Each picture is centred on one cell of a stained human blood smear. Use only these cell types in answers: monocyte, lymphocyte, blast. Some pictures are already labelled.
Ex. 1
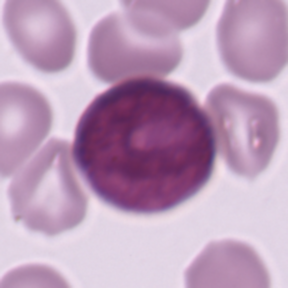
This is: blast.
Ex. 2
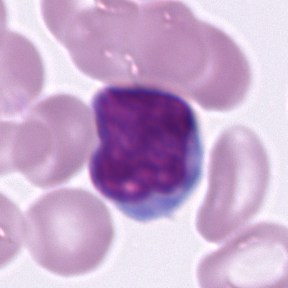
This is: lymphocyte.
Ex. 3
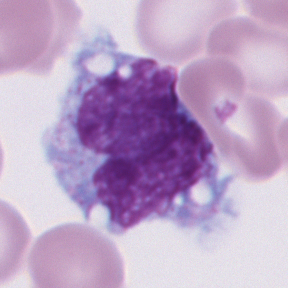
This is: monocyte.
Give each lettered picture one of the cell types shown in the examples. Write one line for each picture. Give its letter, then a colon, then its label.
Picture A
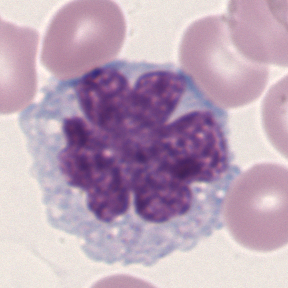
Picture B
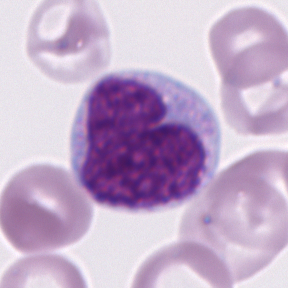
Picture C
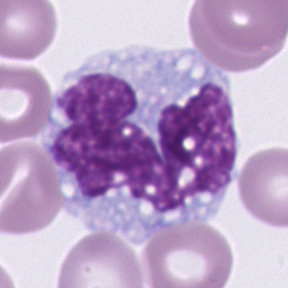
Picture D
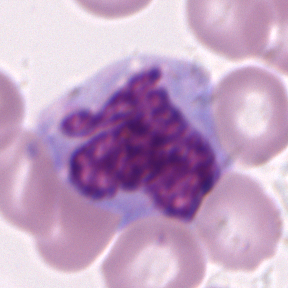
A: monocyte.
B: monocyte.
C: monocyte.
D: monocyte.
